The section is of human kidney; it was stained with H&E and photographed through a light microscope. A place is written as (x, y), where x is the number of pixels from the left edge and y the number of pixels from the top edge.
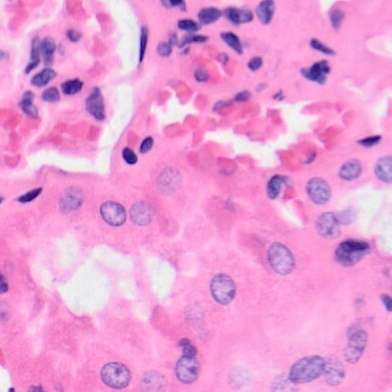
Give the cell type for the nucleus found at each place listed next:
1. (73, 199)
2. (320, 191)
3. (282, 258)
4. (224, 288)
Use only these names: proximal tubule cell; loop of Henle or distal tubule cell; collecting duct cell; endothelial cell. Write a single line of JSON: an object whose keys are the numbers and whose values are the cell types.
{"1": "proximal tubule cell", "2": "collecting duct cell", "3": "proximal tubule cell", "4": "proximal tubule cell"}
